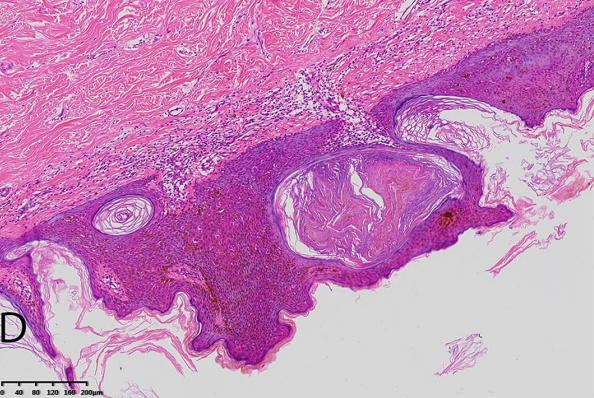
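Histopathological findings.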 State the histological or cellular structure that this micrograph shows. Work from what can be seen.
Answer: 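Round spaces inside the epidermis are filled with concentric pink laminated keratin. The keratin-filled round spaces are enclosed by epidermal cells.
Horn cysts.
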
